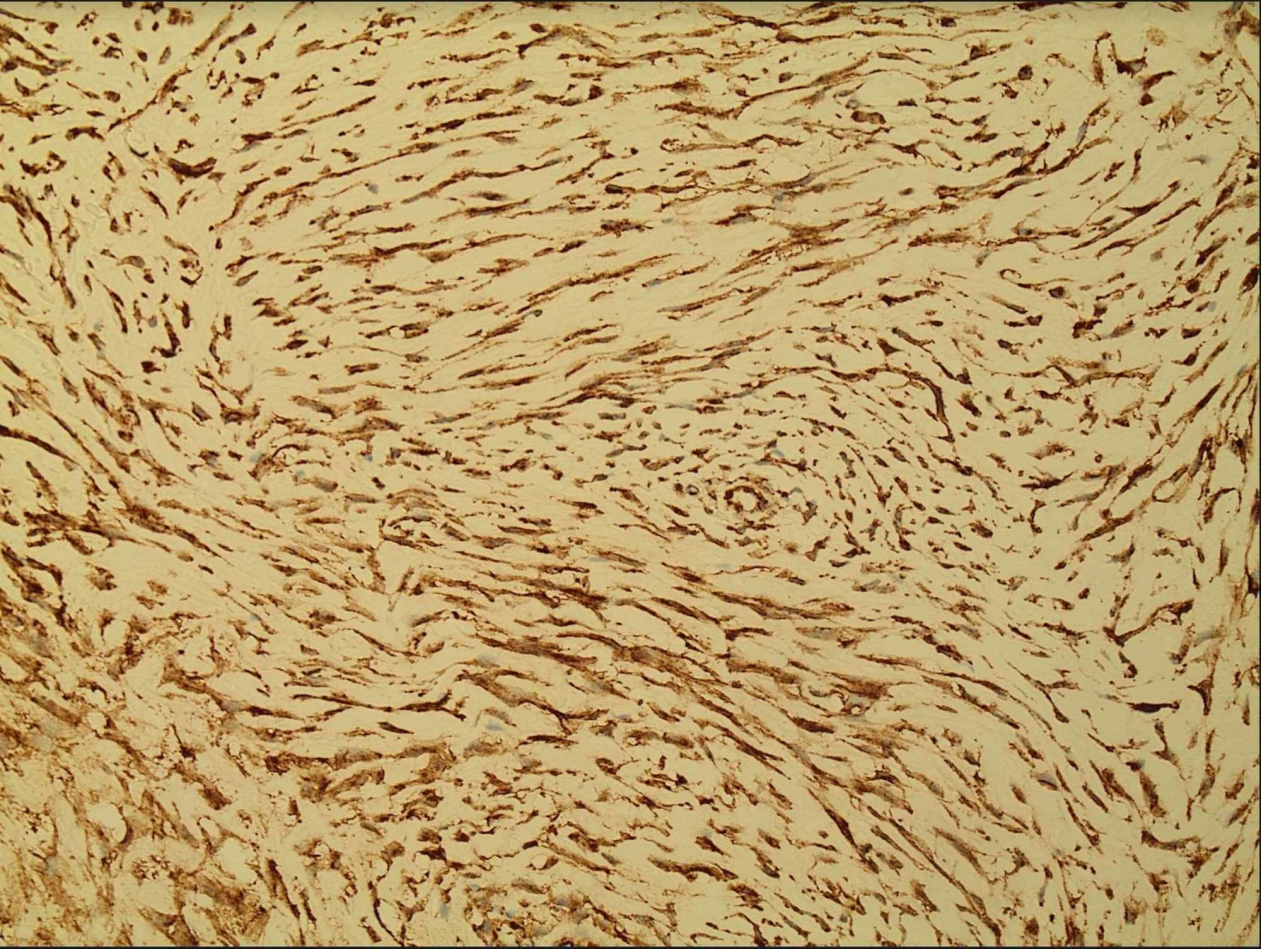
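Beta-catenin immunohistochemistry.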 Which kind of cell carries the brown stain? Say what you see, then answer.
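Fibroblast. The brown-stained cells are elongated and spindle-shaped with tapering ends. The cells are spread singly through a pale, fibrous-looking stroma. The cells are aligned in long, parallel streams.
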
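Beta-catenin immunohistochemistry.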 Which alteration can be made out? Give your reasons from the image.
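Desmoid fibromatosis. Uniform, bland spindle cells form long sweeping fascicles. The spindle cells sit fairly evenly spaced in a pale collagenous background. Nearly all of the spindle cells take up the brown stain. A small vessel lies among the fascicles.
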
